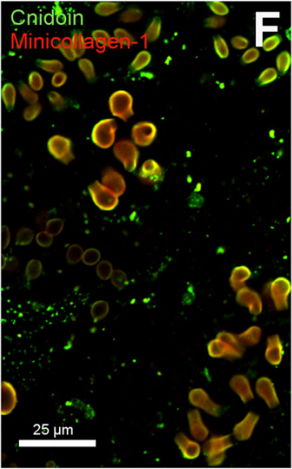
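Here the capsules of developing nematocytes lie in clusters, each capsule edged by a yellow to orange rim where the green and red overlap, marking the capsule wall. Some capsules are round, others pear-shaped with a narrower neck, and many are filled with a fainter orange tone. Small green dots are scattered through the surrounding tissue.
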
